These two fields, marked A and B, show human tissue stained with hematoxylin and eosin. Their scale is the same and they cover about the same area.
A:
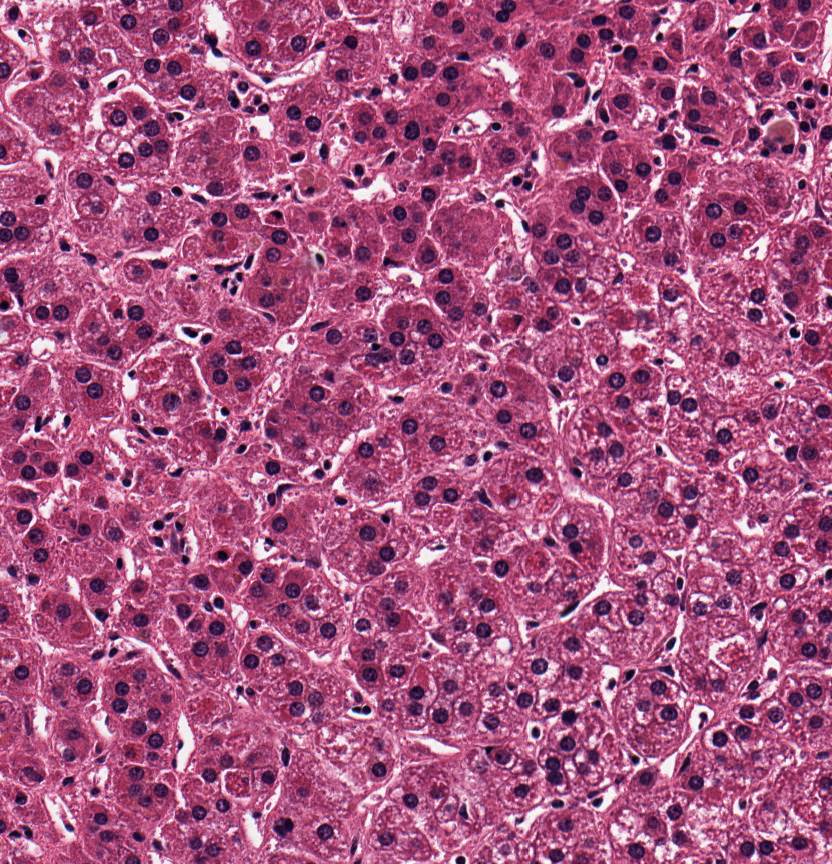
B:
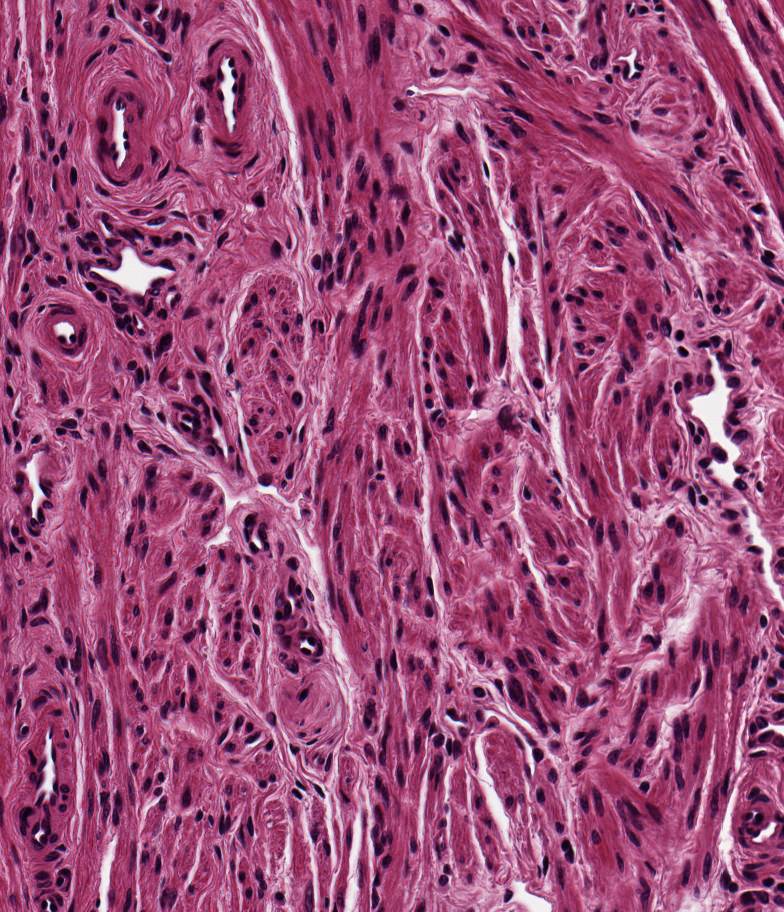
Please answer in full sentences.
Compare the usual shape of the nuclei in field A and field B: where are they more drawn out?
It is field B whose nuclei are the more elongated.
